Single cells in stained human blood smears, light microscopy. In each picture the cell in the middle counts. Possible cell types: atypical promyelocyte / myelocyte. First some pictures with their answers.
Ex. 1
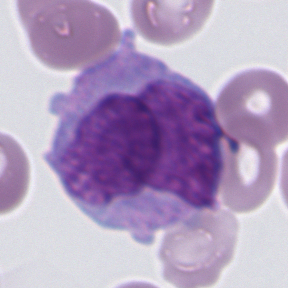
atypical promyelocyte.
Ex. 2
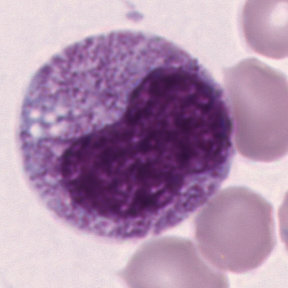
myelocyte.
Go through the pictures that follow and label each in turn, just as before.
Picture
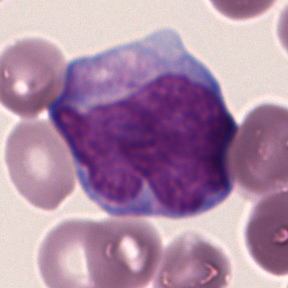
atypical promyelocyte.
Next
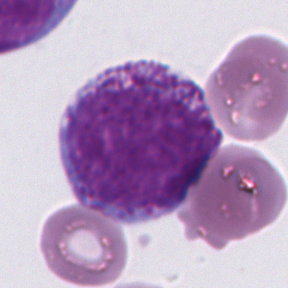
myelocyte.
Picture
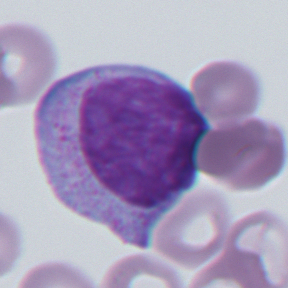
atypical promyelocyte.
